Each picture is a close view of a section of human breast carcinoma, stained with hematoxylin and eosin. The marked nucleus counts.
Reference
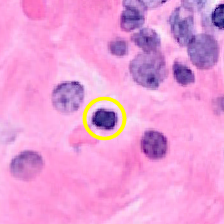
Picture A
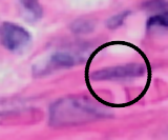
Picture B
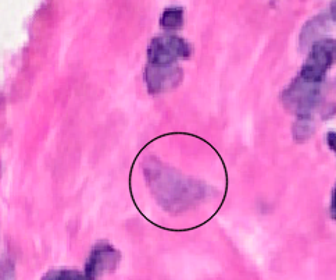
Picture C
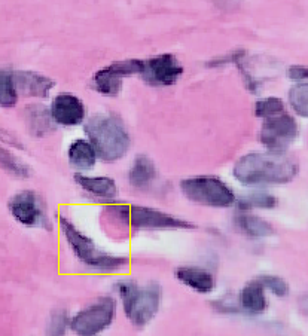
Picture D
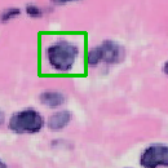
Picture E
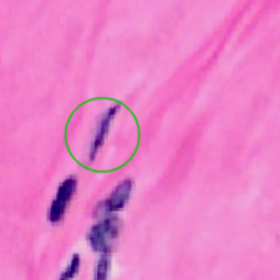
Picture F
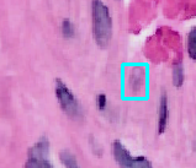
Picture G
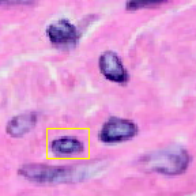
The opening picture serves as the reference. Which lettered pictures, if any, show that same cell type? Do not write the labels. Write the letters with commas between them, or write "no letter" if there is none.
D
